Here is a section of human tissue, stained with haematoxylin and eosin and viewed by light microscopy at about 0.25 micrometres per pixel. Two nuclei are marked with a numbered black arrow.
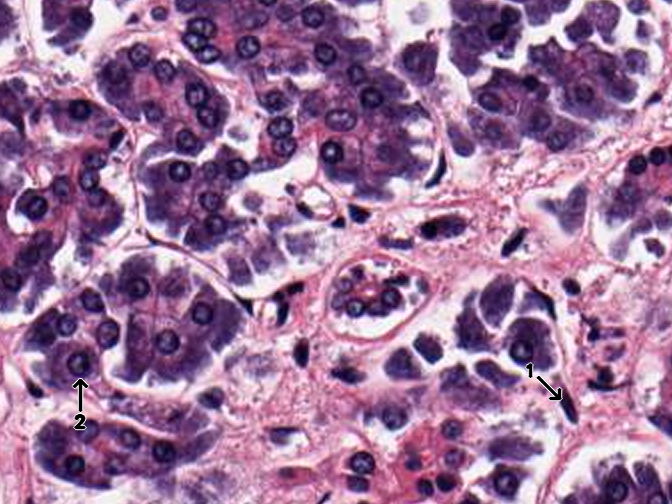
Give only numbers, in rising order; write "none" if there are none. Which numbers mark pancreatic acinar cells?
2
